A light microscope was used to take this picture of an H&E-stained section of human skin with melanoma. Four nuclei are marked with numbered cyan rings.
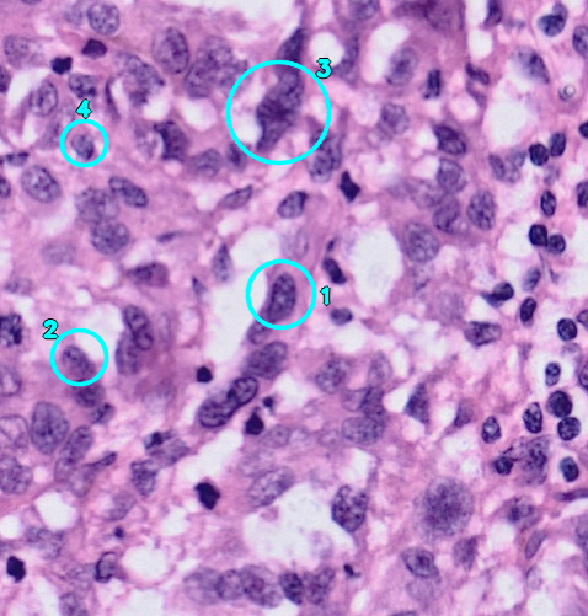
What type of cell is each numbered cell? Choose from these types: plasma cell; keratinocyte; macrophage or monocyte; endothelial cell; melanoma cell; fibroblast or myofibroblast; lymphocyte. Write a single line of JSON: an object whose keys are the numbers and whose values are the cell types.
{"1": "melanoma cell", "2": "melanoma cell", "3": "melanoma cell", "4": "macrophage or monocyte"}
